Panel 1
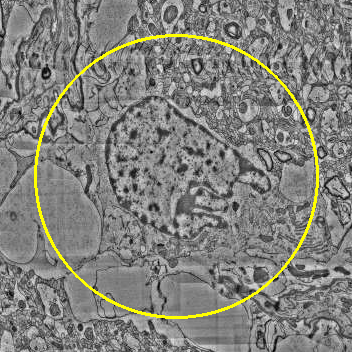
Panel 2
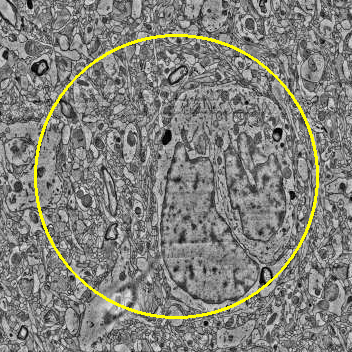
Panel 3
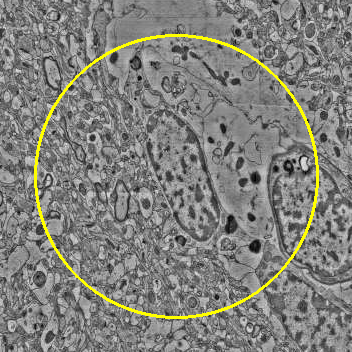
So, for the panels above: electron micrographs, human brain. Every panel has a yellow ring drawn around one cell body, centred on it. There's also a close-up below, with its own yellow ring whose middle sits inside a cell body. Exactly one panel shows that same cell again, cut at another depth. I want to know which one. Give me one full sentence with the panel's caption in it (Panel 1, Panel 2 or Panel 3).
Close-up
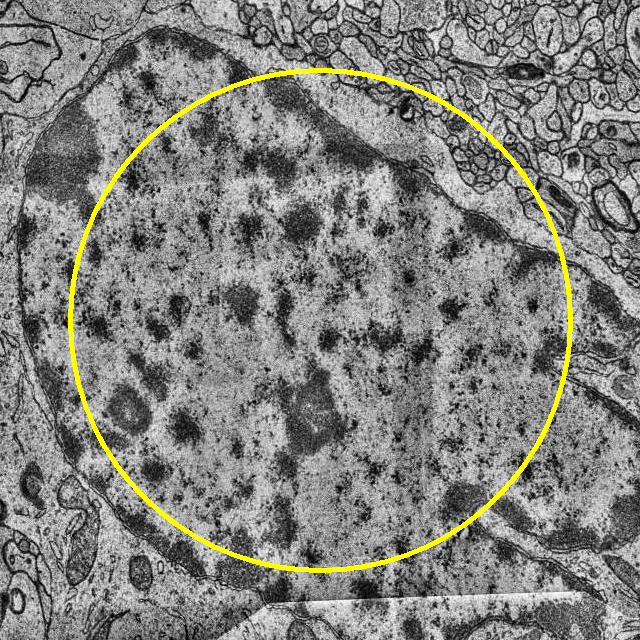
The cell examined up close is the one ringed in Panel 1.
